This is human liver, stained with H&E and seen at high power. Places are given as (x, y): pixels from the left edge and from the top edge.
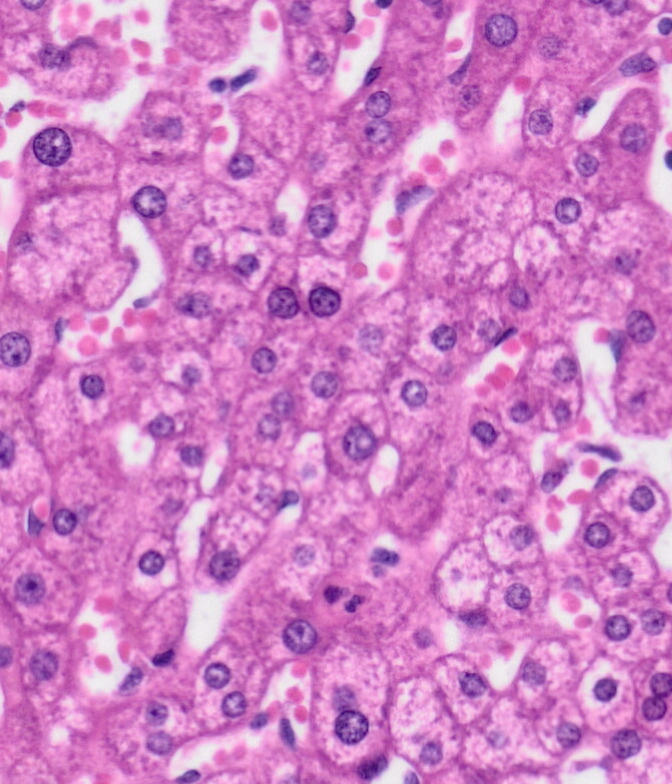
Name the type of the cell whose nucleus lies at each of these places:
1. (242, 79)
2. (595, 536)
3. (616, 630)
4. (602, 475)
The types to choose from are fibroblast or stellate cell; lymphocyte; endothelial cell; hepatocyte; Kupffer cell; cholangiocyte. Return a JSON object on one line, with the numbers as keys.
{"1": "lymphocyte", "2": "hepatocyte", "3": "hepatocyte", "4": "endothelial cell"}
